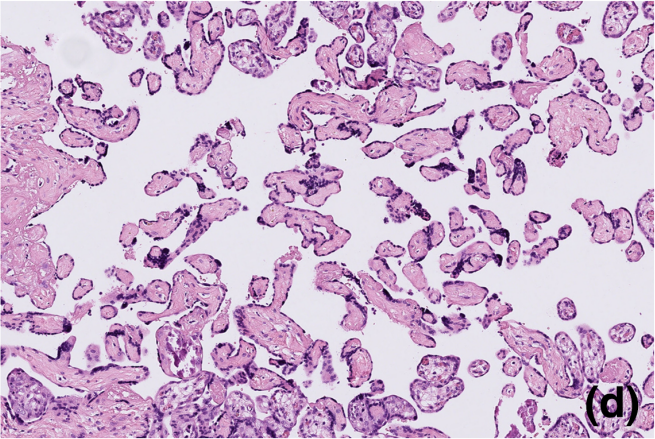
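Placental villi of irregular, elongated shapes lie loosely in open intervillous space, their stroma dense, hyalinized and eosinophilic with few stromal nuclei and no visible vessels. The covering trophoblast is thin, with dark purple nuclei clumped into knots along the surfaces; a larger fibrous stem villus lies at the left edge.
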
